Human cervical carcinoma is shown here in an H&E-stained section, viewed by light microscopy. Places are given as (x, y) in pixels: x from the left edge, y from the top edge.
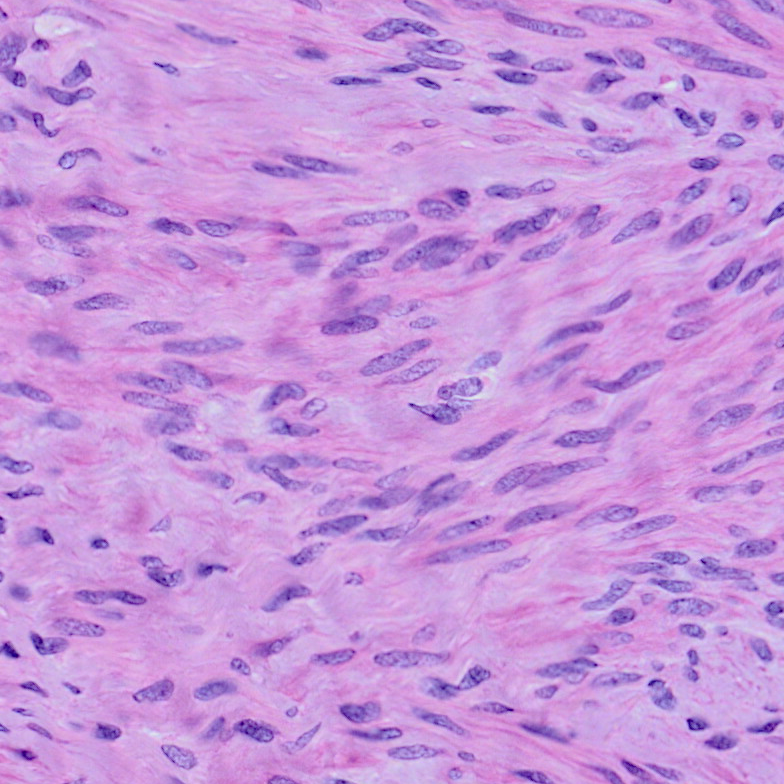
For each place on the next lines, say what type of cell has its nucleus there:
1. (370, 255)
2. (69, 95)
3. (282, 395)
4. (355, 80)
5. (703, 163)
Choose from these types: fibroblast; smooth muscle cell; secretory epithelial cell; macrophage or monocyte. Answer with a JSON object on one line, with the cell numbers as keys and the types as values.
{"1": "smooth muscle cell", "2": "fibroblast", "3": "smooth muscle cell", "4": "fibroblast", "5": "smooth muscle cell"}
